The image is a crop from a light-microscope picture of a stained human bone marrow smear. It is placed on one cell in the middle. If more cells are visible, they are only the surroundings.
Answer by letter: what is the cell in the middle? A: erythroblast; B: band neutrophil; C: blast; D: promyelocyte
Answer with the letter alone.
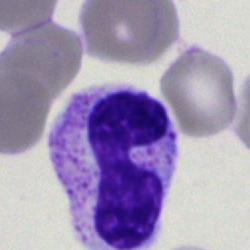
B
